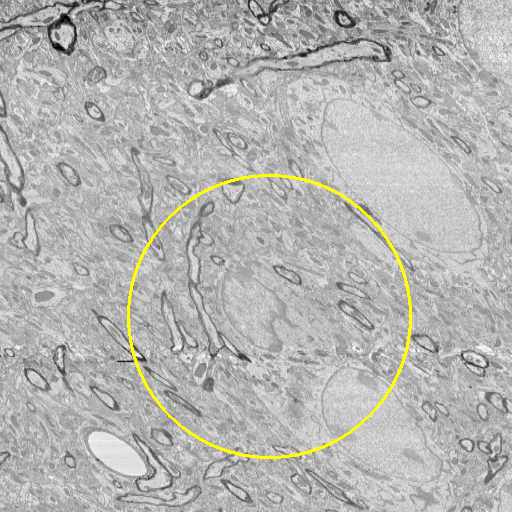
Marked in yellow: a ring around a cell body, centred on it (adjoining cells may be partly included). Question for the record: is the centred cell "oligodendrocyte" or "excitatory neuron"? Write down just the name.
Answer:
oligodendrocyte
